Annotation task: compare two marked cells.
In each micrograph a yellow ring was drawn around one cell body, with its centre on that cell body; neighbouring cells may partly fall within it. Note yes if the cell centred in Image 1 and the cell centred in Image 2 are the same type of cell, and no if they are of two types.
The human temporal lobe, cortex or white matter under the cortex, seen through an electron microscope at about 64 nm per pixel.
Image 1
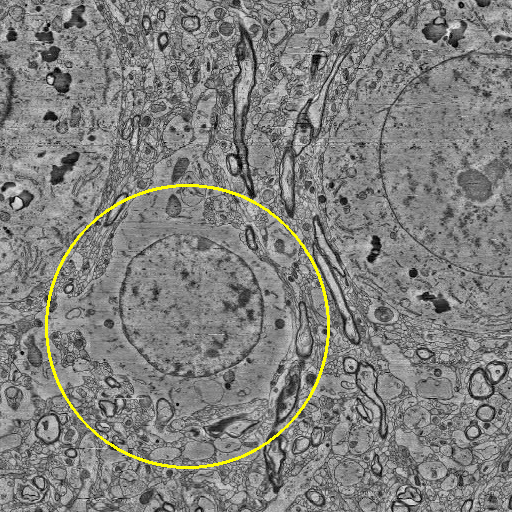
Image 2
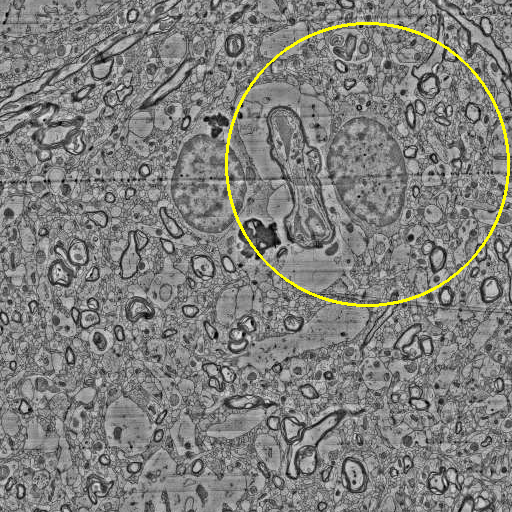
no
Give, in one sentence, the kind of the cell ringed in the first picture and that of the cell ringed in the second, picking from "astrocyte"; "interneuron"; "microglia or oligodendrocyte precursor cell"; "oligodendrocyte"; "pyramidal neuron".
For the first picture it is an astrocyte; for the second, an oligodendrocyte.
